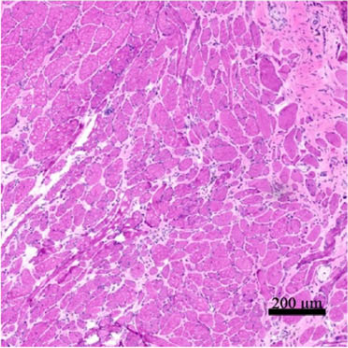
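The muscle fibers appear as pink, polygonal to rounded profiles of quite variable size, packed in groups that run in different directions, some cut across and some obliquely. Small dark purple nuclei lie at the fiber edges and scattered in the pale spaces between fibers. Between the groups there are paler, looser strands of tissue, so the fibers are less tightly and regularly packed than in normal muscle.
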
